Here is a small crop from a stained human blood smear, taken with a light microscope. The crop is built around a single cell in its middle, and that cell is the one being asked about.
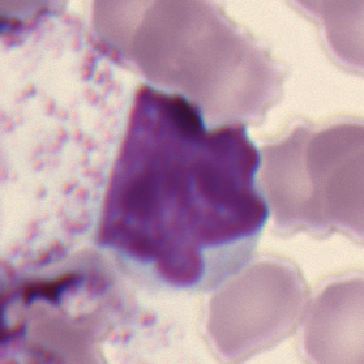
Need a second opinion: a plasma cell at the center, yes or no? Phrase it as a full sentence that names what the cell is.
No, it is not a plasma cell that lies in the middle but a large granular lymphocyte.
